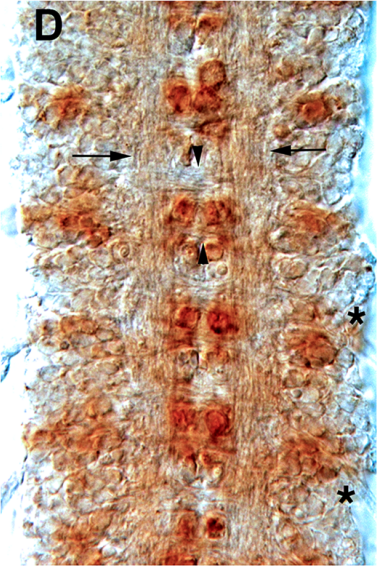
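The stained cell bodies are round and form clusters, both at the midline beneath the commissures and lateral to the longitudinal tracts. The longitudinal axon tracts and the commissures appear pale and fibrous in relief and carry little or no brown stain. The overall ladder-like scaffold of axons can still be made out between the stained clusters. At the lateral edges of the cord, the nerve roots are unstained.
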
